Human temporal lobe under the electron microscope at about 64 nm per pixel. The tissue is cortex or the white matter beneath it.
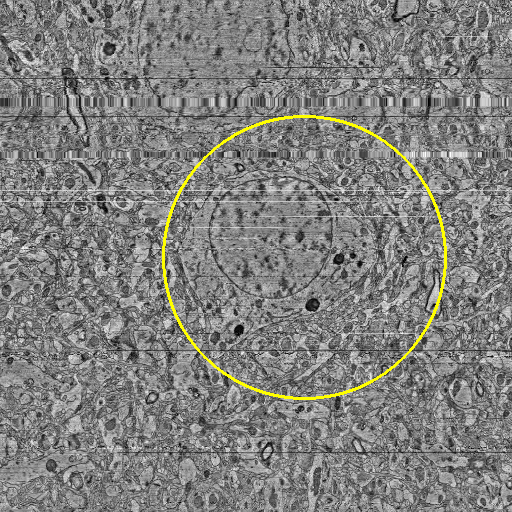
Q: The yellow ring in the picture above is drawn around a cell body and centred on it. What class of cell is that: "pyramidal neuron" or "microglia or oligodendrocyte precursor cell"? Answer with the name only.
pyramidal neuron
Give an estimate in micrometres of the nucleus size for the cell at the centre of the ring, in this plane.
In this plane the nucleus is about 8 micrometres across.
